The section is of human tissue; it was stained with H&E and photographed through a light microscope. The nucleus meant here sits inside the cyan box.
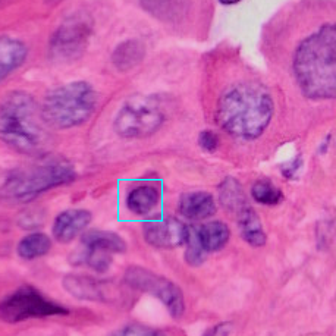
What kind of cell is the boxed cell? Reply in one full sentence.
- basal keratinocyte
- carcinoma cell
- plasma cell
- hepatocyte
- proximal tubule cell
It is a plasma cell that the boxed cell represents.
